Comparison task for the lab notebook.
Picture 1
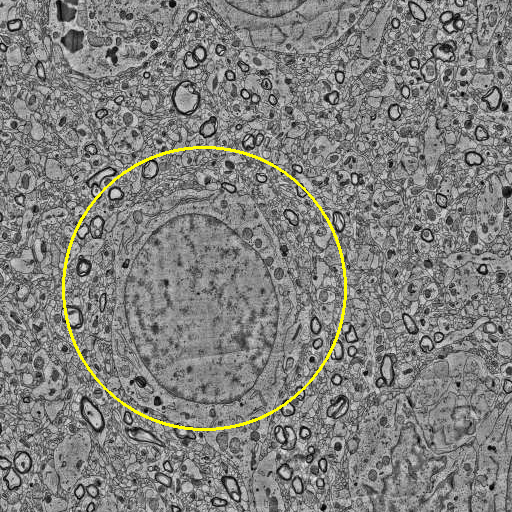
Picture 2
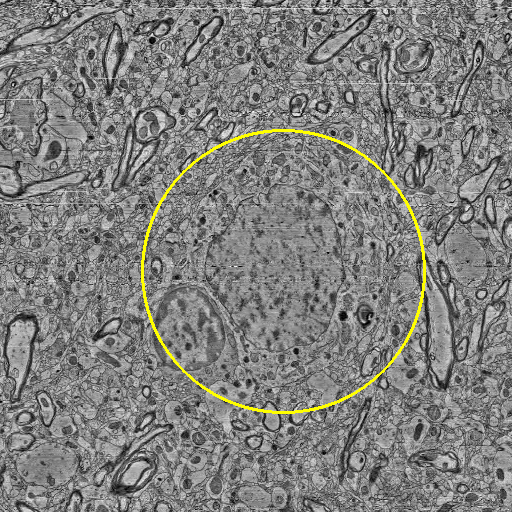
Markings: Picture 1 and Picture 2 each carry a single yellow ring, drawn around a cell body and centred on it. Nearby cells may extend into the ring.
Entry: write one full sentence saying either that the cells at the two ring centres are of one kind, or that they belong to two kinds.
The cells sitting at the ring centres in Picture 1 and Picture 2 are of one kind.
